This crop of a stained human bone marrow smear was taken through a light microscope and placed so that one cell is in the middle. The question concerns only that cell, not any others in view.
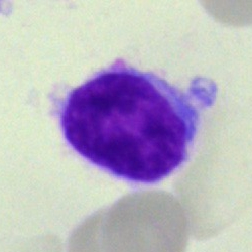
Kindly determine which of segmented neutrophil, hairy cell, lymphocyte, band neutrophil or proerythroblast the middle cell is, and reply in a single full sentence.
At the center of the crop sits a hairy cell.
